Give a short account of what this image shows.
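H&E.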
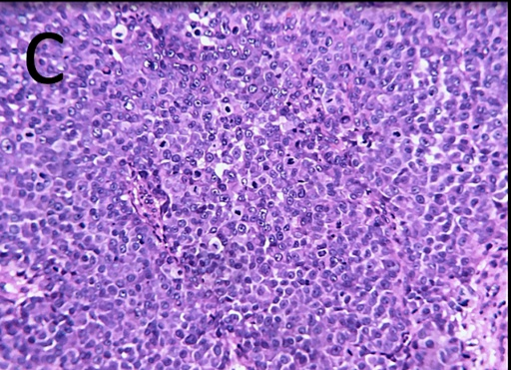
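A solid sheet of large tumour cells fills the field with little intervening stroma. Nuclear size varies from cell to cell. A thin fibrovascular strand crosses the sheet.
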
